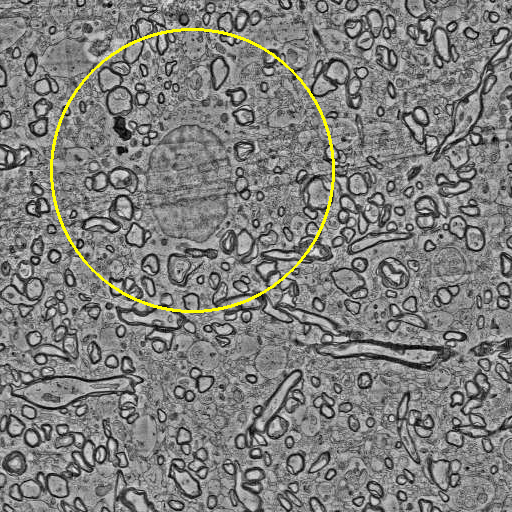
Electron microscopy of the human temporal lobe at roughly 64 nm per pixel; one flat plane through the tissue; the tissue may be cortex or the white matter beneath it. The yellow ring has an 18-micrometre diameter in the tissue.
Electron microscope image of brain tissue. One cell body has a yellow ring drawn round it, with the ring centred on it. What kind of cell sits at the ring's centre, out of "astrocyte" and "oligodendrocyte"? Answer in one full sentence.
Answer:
It is an oligodendrocyte whose cell body sits at the centre of the yellow ring.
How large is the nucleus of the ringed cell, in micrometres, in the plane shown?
In this plane, roughly 7 by 5 micrometres.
